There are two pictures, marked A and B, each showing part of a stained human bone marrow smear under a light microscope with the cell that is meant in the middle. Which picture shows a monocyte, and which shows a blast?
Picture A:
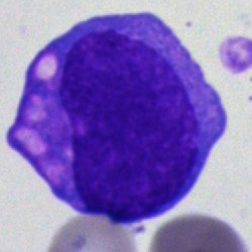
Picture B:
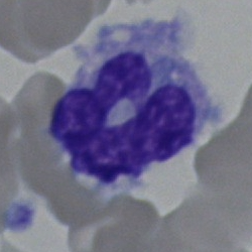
A: blast
B: monocyte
